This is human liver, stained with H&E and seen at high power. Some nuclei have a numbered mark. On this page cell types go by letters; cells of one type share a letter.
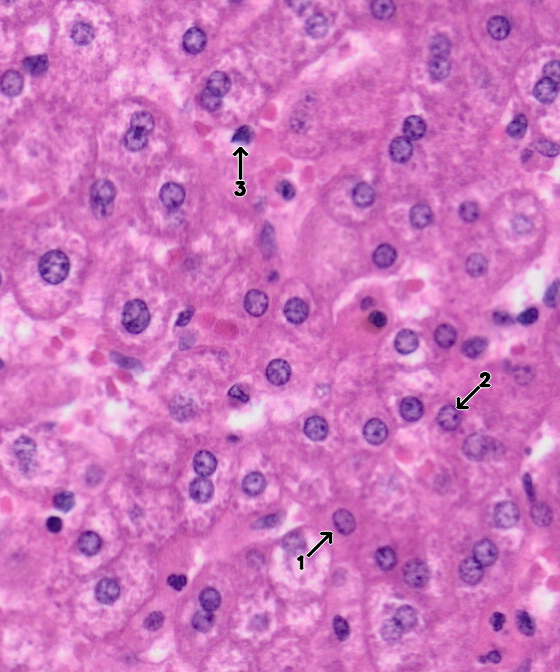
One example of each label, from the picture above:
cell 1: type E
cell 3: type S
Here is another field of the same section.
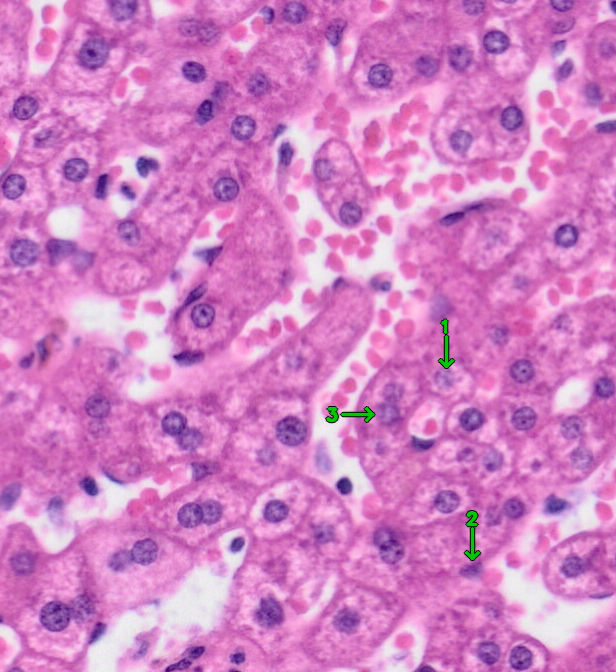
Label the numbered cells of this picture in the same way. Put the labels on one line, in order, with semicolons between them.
type E; type S; type E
